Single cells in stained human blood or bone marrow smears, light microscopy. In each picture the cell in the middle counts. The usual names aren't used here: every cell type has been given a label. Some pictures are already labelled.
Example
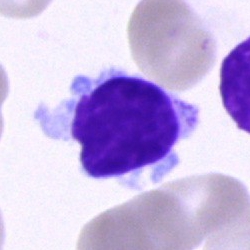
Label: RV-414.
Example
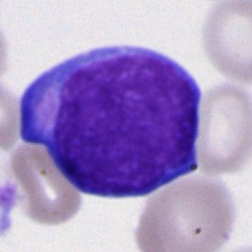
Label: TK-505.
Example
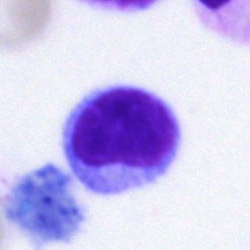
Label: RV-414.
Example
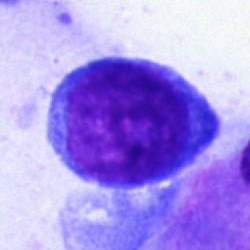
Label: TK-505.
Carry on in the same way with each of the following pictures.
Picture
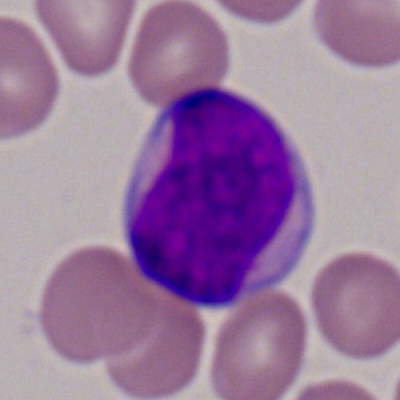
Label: TK-505.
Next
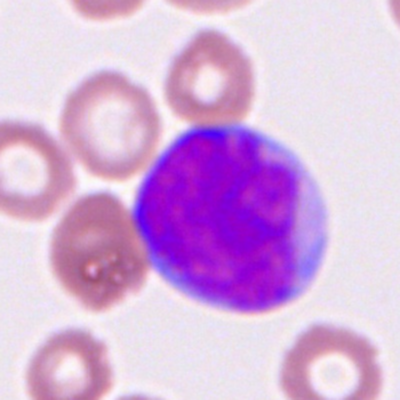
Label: TK-505.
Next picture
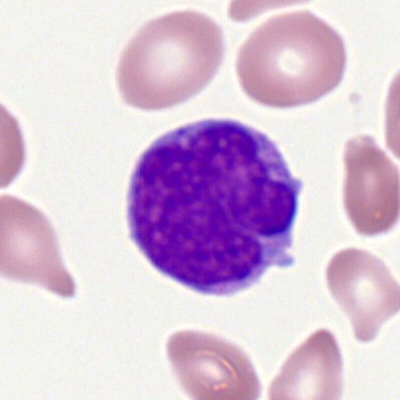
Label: TK-505.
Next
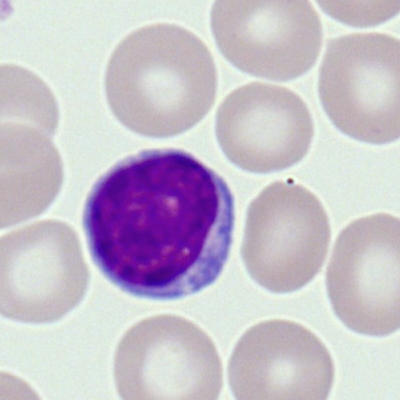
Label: RV-414.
